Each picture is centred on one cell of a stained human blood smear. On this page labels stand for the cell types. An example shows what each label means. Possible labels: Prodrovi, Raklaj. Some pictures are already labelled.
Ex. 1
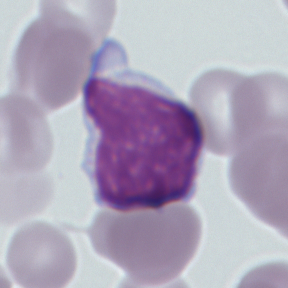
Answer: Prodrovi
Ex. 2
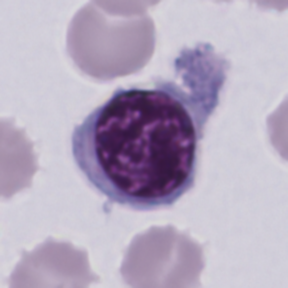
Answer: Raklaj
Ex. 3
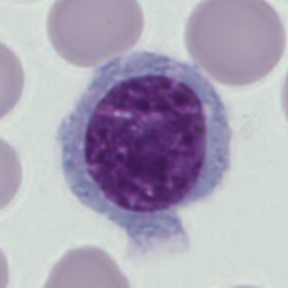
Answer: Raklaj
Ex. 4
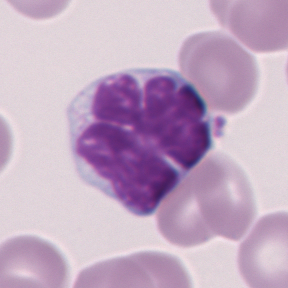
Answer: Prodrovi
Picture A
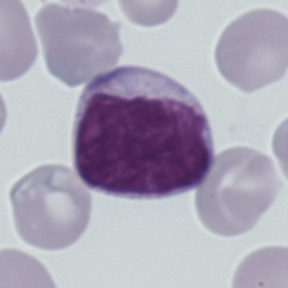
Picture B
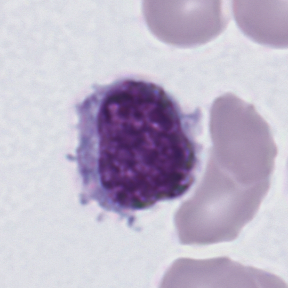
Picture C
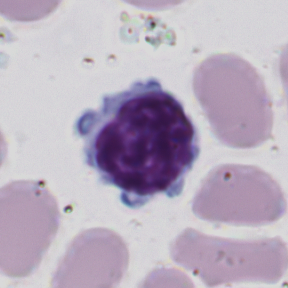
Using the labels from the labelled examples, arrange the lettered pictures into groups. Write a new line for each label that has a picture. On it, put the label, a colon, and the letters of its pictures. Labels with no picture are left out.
Prodrovi: A
Raklaj: B, C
